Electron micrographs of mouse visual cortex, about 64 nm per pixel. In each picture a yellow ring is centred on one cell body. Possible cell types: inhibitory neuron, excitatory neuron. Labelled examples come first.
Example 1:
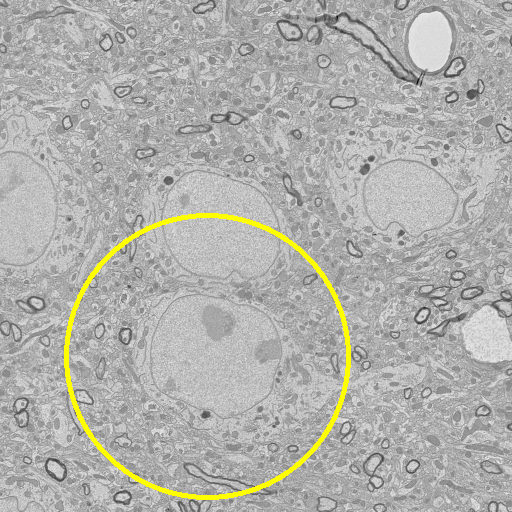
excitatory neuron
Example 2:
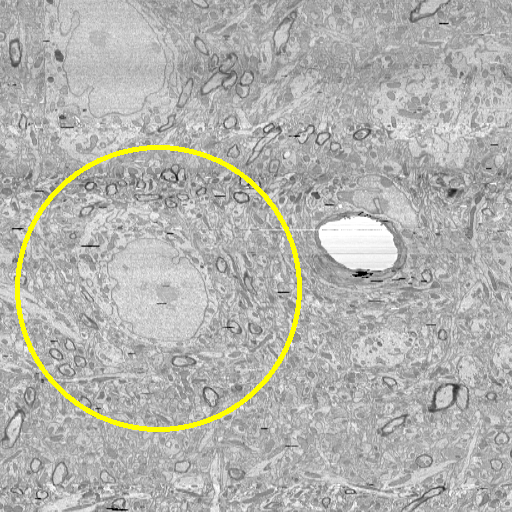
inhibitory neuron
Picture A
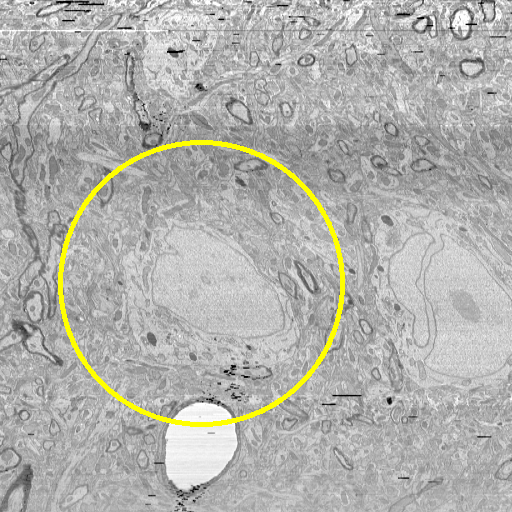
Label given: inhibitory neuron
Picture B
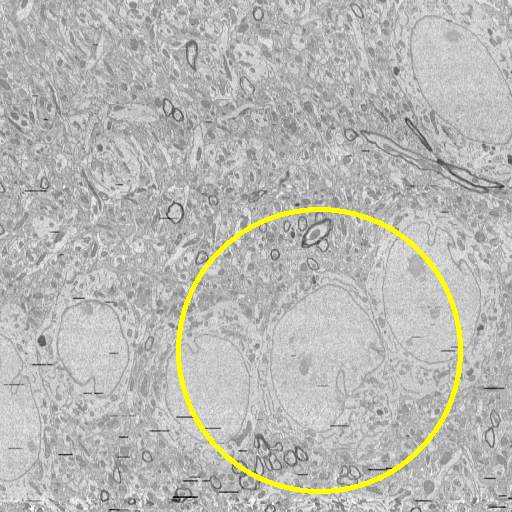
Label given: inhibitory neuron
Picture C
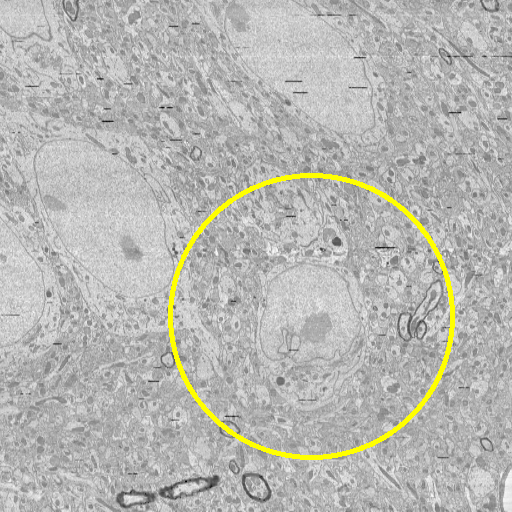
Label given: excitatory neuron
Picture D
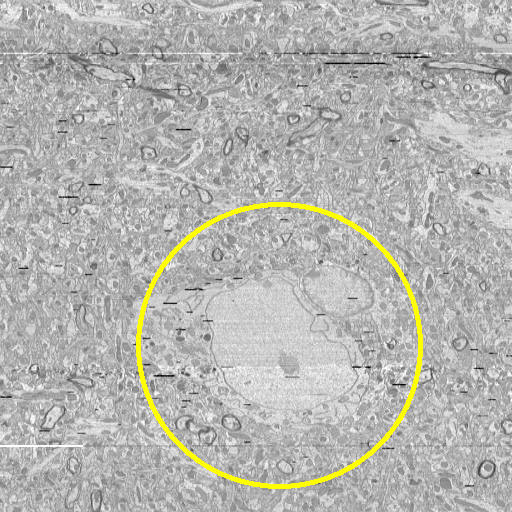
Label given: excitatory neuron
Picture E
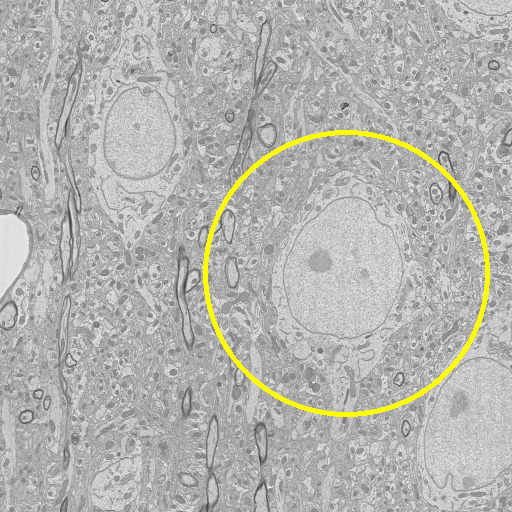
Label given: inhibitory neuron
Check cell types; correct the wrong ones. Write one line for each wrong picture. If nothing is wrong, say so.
C: not excitatory neuron but inhibitory neuron
E: not inhibitory neuron but excitatory neuron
